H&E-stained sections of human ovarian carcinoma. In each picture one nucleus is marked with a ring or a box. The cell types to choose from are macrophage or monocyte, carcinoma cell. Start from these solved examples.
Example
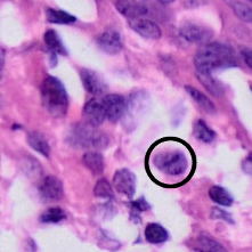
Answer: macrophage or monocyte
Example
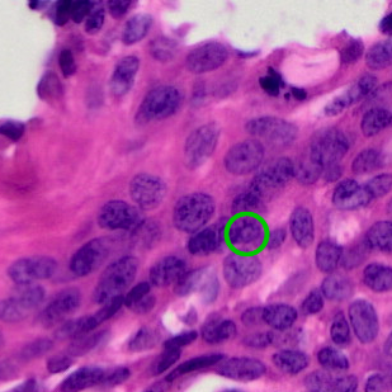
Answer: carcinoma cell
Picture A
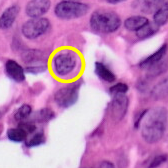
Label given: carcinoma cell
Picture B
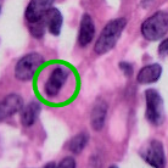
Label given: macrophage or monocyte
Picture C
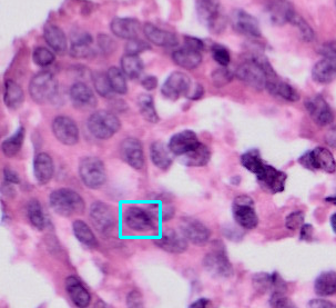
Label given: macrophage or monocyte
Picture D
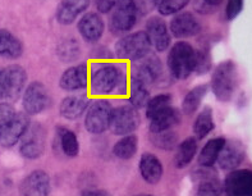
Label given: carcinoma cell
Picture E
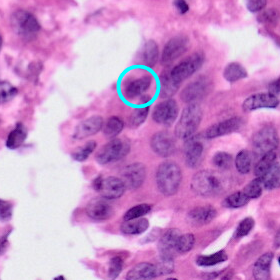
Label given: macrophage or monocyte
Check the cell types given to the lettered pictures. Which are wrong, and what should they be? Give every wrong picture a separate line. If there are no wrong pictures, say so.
A: not carcinoma cell but macrophage or monocyte
C: not macrophage or monocyte but carcinoma cell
